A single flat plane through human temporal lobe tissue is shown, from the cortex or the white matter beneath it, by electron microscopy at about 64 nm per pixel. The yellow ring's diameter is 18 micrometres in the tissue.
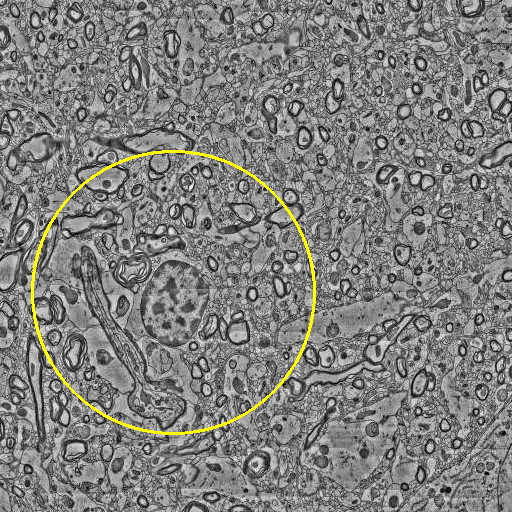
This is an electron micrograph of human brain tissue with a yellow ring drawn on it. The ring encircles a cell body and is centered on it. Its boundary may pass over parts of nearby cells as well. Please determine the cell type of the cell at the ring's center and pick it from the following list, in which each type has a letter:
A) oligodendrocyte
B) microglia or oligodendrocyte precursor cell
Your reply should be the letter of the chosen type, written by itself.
B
